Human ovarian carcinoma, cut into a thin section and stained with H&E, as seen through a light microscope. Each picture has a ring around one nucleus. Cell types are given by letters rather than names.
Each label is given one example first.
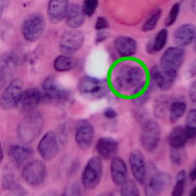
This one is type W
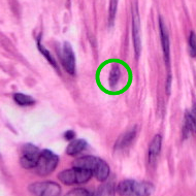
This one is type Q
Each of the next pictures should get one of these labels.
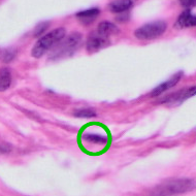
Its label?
type Q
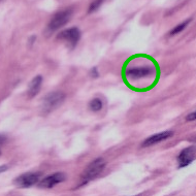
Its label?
type Q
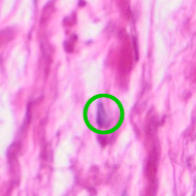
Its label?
type Q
